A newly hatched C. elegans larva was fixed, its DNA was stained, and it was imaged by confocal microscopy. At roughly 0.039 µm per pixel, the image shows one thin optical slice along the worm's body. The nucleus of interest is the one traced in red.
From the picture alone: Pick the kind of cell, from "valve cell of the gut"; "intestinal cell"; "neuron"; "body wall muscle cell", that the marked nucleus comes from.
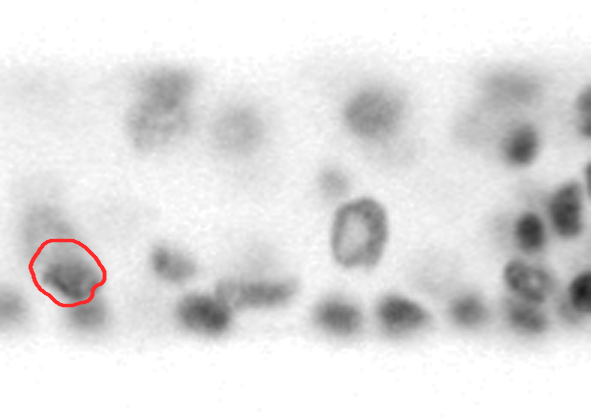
body wall muscle cell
